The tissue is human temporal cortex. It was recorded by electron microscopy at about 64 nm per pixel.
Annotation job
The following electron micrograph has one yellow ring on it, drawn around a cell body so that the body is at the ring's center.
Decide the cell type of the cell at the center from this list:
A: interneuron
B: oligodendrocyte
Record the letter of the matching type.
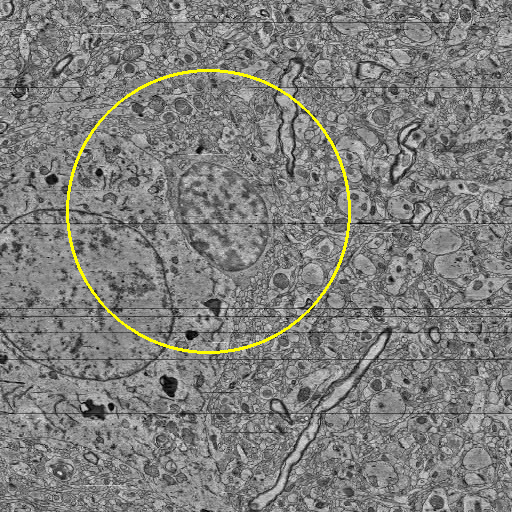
B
